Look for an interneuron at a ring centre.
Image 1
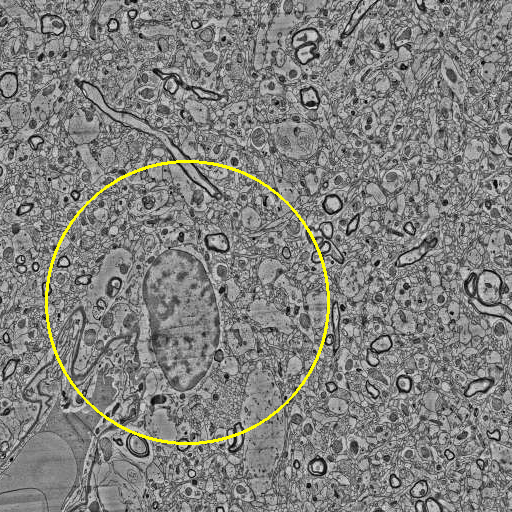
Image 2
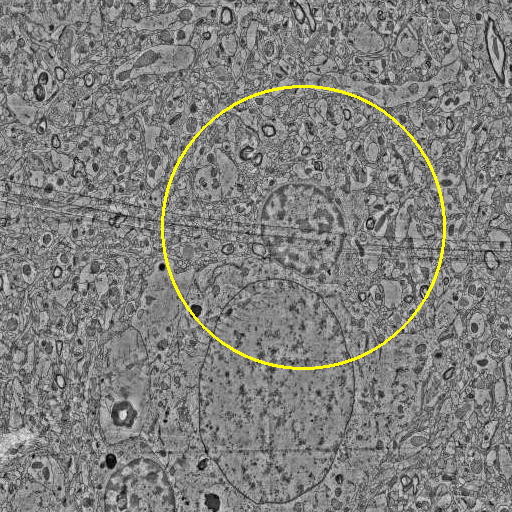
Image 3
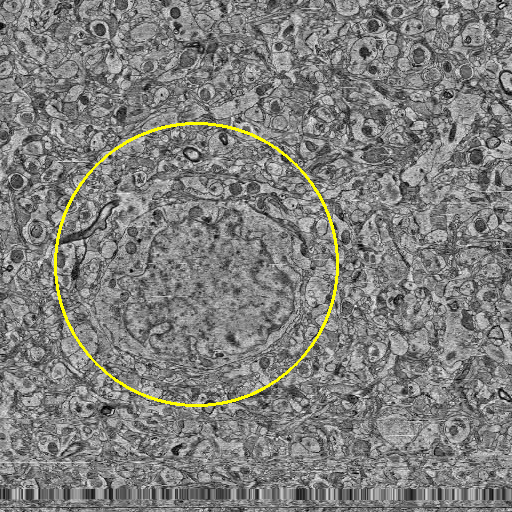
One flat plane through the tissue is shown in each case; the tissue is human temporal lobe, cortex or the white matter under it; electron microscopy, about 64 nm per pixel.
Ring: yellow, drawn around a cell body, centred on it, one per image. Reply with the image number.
3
